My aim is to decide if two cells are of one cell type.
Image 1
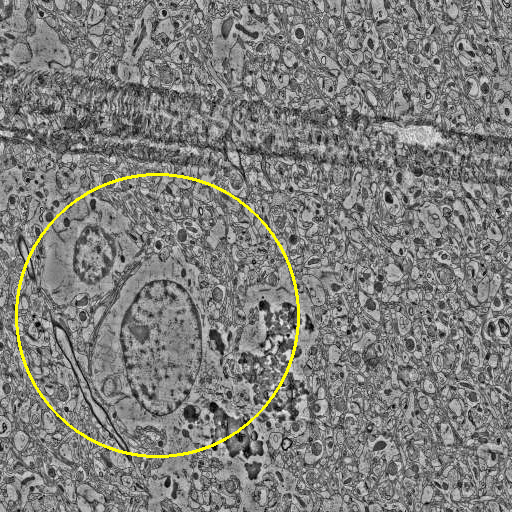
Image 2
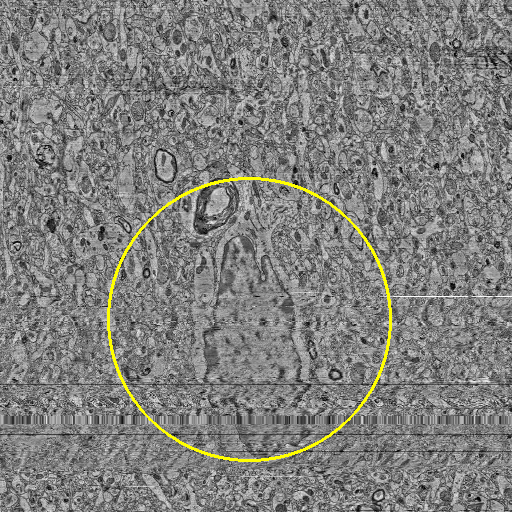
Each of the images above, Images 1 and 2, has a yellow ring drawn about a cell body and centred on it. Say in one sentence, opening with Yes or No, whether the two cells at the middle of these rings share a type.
No, in Images 1 and 2 the cells at the middle of the rings fall into two types.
